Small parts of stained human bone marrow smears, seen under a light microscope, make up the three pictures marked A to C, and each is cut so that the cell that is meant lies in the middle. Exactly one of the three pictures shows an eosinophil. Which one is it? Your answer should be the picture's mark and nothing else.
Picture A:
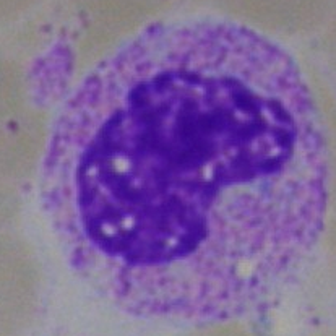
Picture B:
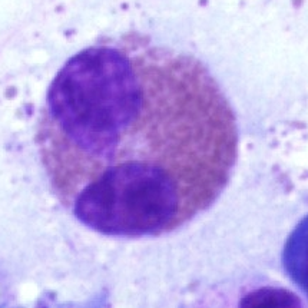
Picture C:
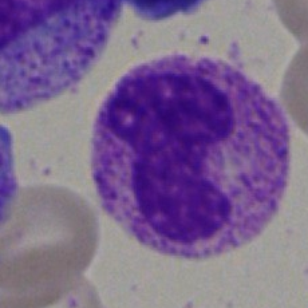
B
